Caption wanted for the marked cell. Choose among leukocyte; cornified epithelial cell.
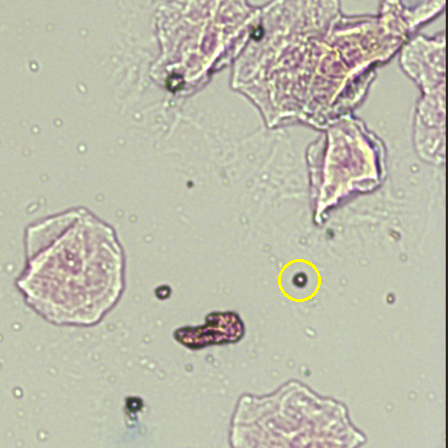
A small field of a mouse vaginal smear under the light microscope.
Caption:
Ringed in yellow is a leukocyte.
